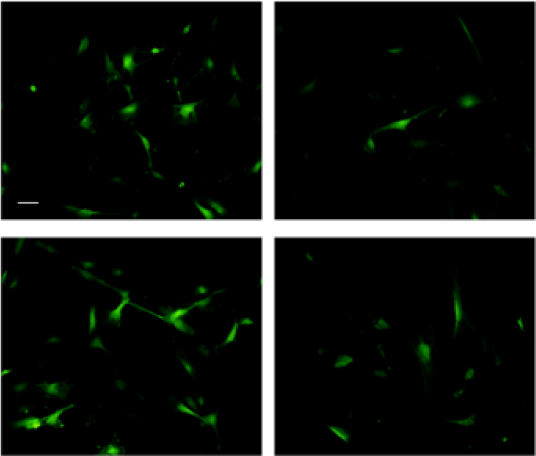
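The green fluorescence fills the cytoplasm and is brightest over the central cell body. Brightness varies from cell to cell and between fields.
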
